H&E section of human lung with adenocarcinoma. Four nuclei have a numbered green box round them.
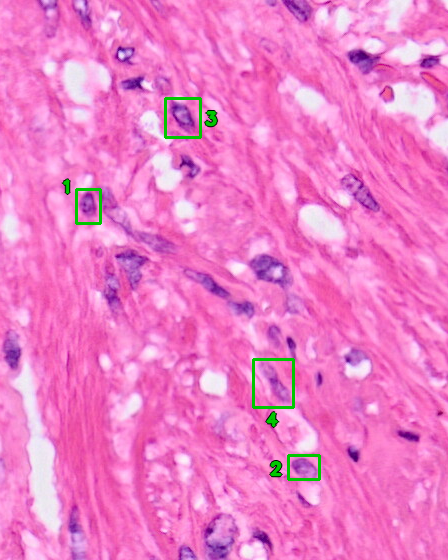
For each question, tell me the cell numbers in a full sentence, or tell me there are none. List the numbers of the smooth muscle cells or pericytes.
In this section, the cells labelled 2, 3 and 4 are smooth muscle cells or pericytes.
